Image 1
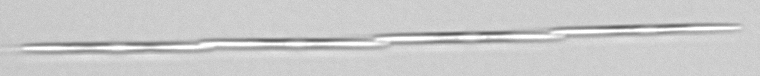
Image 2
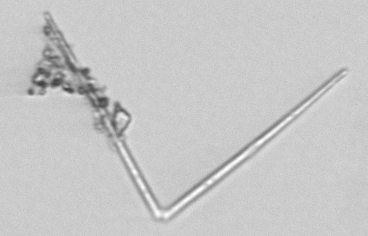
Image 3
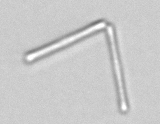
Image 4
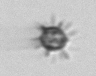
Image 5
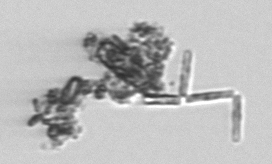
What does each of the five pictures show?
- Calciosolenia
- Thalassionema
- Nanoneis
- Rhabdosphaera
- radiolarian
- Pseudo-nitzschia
Picture 1: Pseudo-nitzschia
Picture 2: Thalassionema
Picture 3: Nanoneis
Picture 4: Rhabdosphaera
Picture 5: Thalassionema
